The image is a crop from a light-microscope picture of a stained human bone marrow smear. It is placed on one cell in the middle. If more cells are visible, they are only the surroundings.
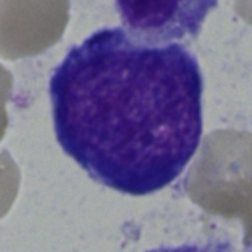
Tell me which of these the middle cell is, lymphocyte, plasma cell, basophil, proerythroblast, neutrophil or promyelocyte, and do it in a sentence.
As for the central cell, it is a proerythroblast.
